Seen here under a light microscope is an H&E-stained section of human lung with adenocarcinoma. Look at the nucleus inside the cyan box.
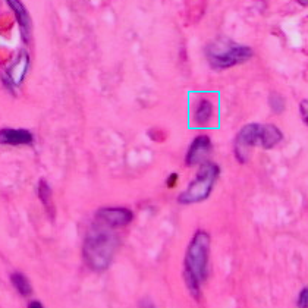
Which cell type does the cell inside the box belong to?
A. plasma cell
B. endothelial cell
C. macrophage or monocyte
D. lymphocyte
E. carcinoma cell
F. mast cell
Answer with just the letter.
F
